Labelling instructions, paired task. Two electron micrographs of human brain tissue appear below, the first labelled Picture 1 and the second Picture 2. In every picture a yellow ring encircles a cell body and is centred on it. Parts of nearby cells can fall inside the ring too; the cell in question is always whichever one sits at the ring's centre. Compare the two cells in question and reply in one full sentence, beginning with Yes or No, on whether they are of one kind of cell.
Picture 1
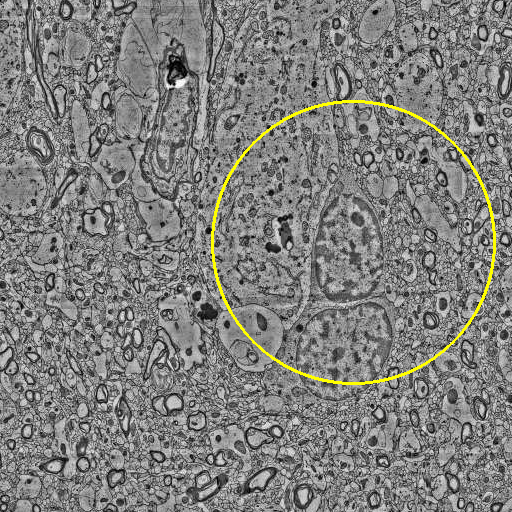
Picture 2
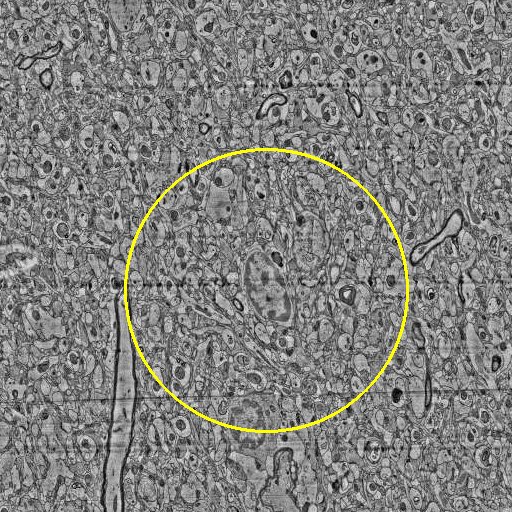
No, the two cells at the ring centres in Picture 1 and Picture 2 are of two kinds.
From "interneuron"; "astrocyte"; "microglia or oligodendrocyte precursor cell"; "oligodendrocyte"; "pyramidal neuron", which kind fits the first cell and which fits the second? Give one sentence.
The cell marked in the first picture is an oligodendrocyte, and the one marked in the second is a microglial cell or oligodendrocyte precursor cell.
